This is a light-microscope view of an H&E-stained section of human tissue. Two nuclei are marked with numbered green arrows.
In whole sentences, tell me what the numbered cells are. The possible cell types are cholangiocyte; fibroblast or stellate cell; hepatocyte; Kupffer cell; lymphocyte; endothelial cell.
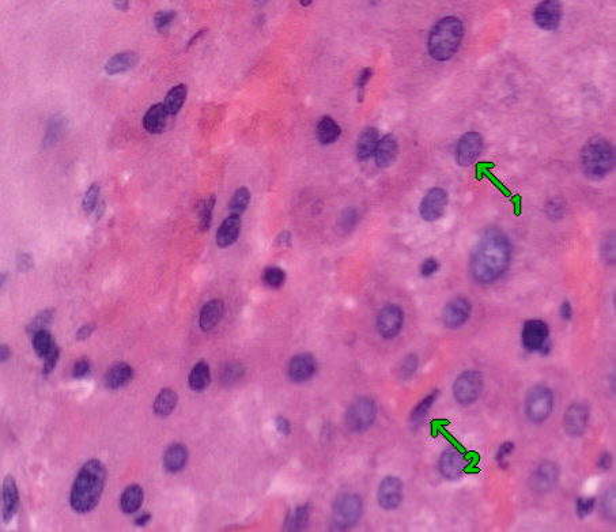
Cell 1 is a hepatocyte. Cell 2 is an endothelial cell.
